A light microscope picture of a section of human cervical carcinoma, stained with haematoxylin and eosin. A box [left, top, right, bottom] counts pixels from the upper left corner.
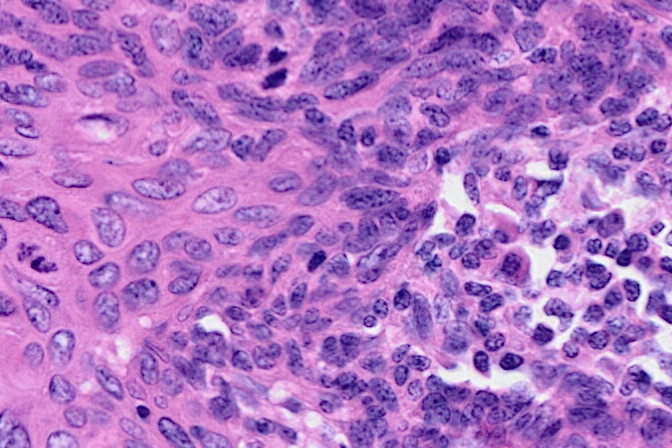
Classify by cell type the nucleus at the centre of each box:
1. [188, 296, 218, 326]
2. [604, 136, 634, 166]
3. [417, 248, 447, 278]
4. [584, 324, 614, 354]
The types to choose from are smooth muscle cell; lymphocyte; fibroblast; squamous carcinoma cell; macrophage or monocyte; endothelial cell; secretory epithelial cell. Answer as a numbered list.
1. squamous carcinoma cell
2. lymphocyte
3. lymphocyte
4. lymphocyte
